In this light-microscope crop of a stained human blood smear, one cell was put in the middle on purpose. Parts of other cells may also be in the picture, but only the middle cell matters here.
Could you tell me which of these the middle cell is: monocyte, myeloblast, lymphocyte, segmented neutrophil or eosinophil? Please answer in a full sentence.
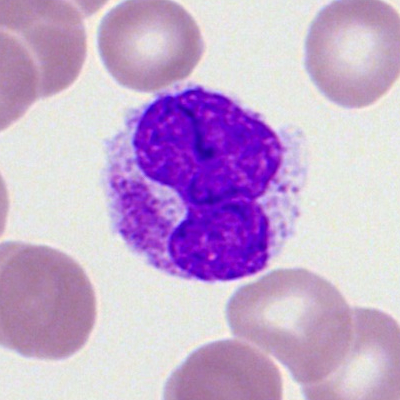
By type, the central cell of the crop is an eosinophil.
